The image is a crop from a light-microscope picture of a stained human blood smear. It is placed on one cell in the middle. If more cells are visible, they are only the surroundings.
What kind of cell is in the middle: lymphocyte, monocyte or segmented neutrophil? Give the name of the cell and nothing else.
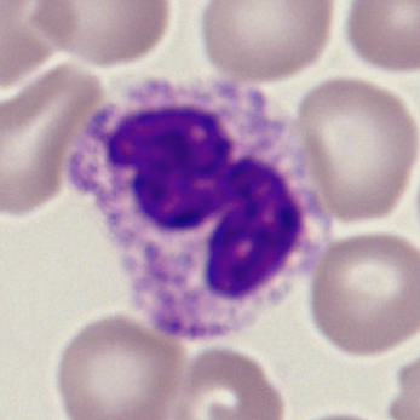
segmented neutrophil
